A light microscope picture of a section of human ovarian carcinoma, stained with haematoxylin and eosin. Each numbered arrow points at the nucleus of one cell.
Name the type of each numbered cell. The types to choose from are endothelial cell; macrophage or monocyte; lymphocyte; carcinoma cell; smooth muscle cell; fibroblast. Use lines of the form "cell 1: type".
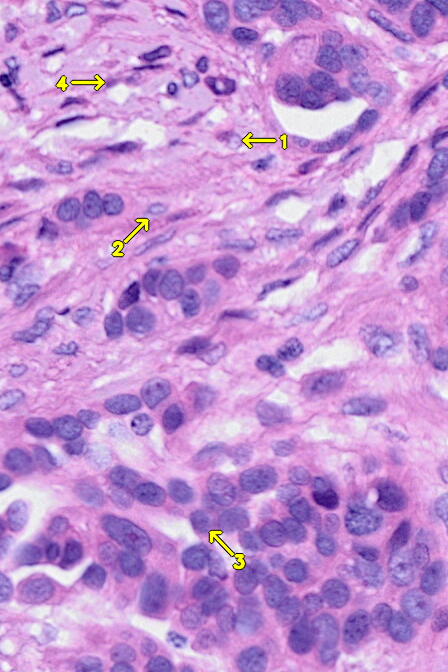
cell 1: fibroblast
cell 2: fibroblast
cell 3: carcinoma cell
cell 4: fibroblast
